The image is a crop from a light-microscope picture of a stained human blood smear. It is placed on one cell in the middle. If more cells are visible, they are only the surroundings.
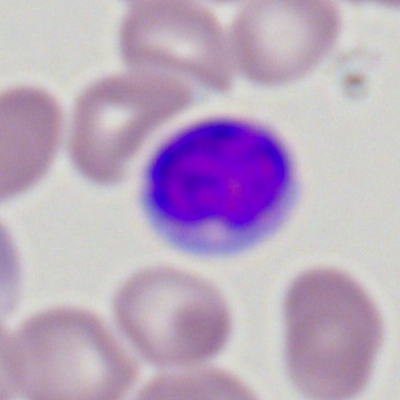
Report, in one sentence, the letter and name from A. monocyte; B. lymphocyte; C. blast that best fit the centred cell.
Since the cell in the middle is a lymphocyte, option B is correct.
